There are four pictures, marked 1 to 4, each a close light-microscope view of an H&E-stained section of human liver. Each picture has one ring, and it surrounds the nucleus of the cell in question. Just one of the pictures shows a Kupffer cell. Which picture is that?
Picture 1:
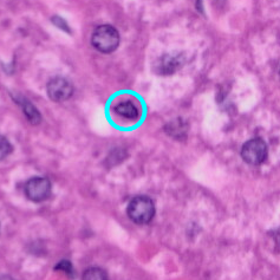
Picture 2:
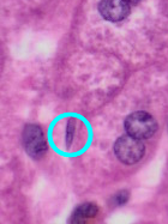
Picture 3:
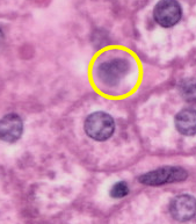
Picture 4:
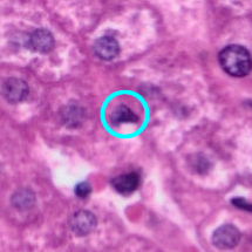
1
